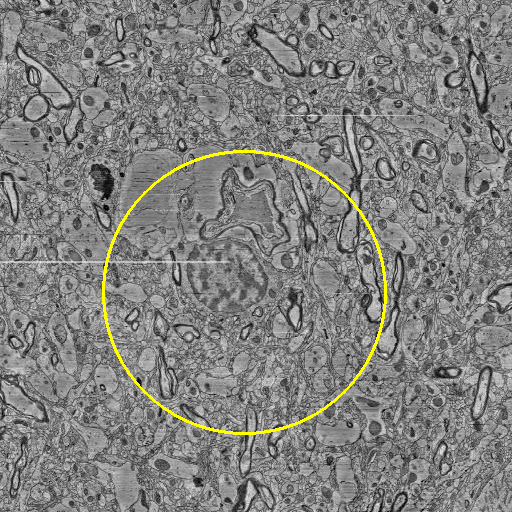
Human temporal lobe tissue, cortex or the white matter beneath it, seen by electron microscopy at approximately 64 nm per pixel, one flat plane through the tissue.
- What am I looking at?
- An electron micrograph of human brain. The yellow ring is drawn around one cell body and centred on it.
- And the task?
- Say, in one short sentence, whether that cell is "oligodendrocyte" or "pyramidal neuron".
The cell in the middle of the ring is an oligodendrocyte.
